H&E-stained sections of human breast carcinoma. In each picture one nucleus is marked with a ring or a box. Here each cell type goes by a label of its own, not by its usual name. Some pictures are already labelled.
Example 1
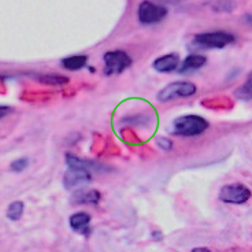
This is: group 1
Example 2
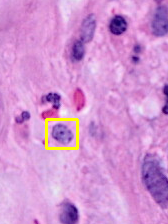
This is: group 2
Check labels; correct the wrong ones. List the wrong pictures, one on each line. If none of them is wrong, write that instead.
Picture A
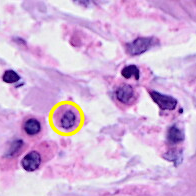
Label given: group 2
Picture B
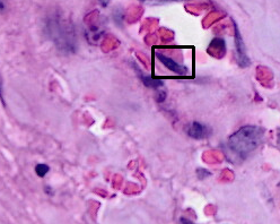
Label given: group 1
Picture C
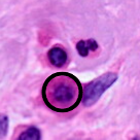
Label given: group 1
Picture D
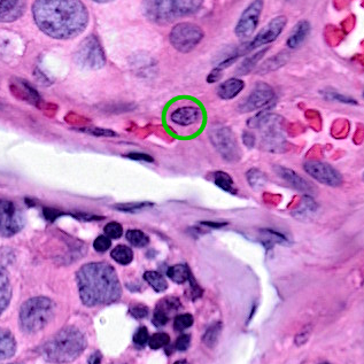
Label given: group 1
C: not group 1 but group 2
D: not group 1 but group 2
